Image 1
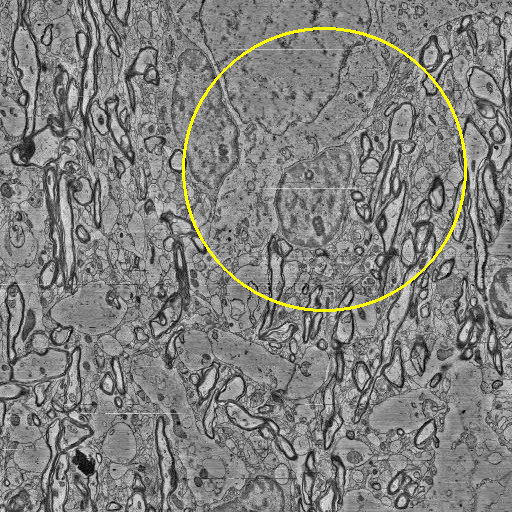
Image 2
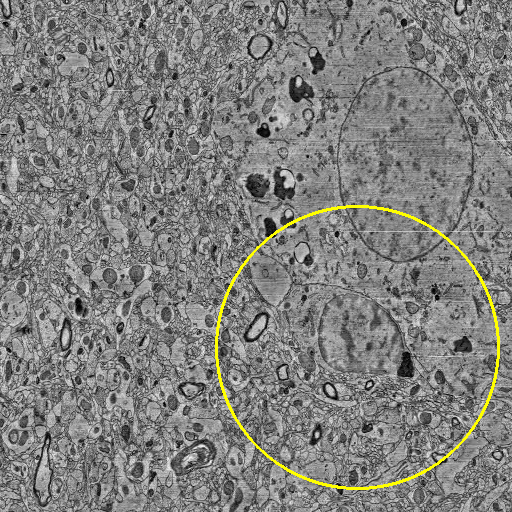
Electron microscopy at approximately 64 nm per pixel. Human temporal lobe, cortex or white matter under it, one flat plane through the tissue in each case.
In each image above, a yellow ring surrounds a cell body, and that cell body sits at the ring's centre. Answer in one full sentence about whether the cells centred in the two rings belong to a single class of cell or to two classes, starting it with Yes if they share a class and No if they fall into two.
Yes, the cells centred in the two yellow rings belong to a single class of cell.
